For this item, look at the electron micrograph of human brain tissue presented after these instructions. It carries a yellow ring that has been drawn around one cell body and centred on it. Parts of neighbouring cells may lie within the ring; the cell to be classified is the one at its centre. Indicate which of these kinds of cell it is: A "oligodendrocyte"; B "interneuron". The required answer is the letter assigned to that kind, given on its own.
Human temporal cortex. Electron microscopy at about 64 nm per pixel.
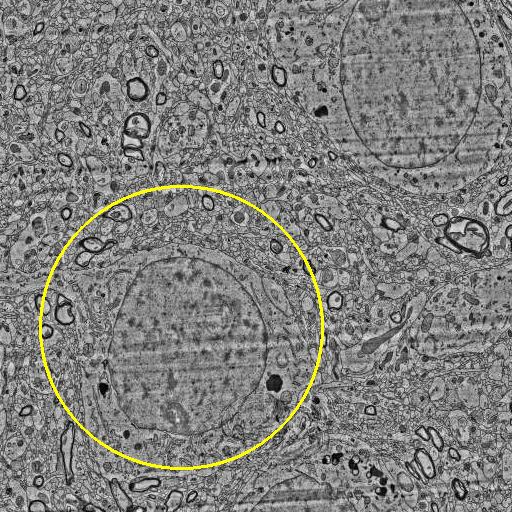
B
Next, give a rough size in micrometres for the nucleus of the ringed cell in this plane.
Roughly 11 micrometers across in this plane.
